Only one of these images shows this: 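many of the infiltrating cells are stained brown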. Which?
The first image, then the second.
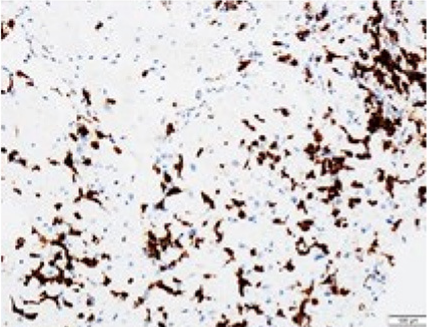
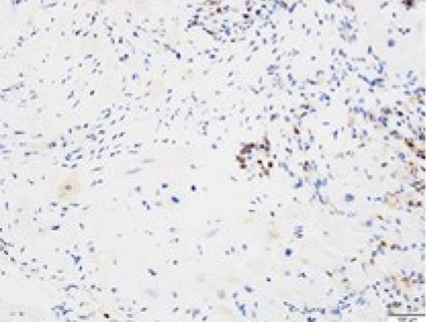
The first image.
